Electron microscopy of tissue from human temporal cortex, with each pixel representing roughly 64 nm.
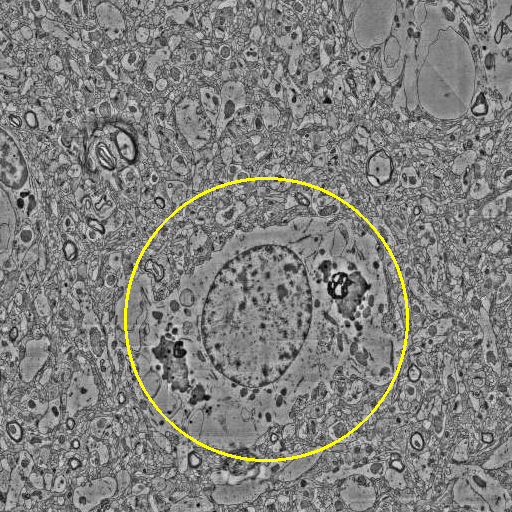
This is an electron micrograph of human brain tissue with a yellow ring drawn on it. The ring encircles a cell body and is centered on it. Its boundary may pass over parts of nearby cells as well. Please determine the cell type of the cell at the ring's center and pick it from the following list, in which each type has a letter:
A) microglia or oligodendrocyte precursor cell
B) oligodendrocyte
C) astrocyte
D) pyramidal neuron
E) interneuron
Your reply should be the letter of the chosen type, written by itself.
C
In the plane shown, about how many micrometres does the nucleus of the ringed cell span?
The nucleus is approximately 9 micrometers long by 7 micrometers wide in this plane.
